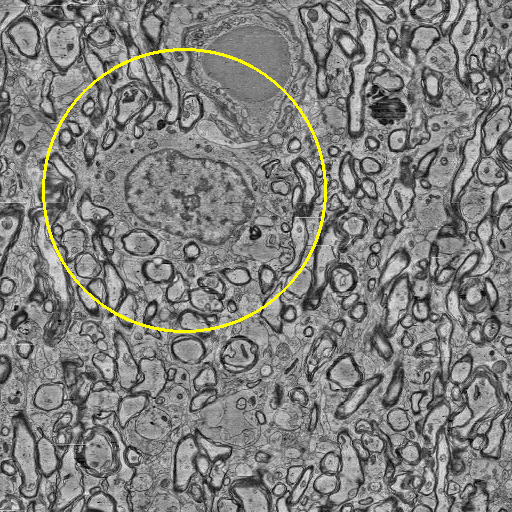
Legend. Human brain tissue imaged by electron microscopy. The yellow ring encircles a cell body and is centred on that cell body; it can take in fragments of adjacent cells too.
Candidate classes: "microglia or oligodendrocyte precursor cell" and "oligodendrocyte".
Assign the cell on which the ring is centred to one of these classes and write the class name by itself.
oligodendrocyte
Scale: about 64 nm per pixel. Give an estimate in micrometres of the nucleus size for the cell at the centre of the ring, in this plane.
In this plane the nucleus spans approximately 8 by 6 micrometers.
